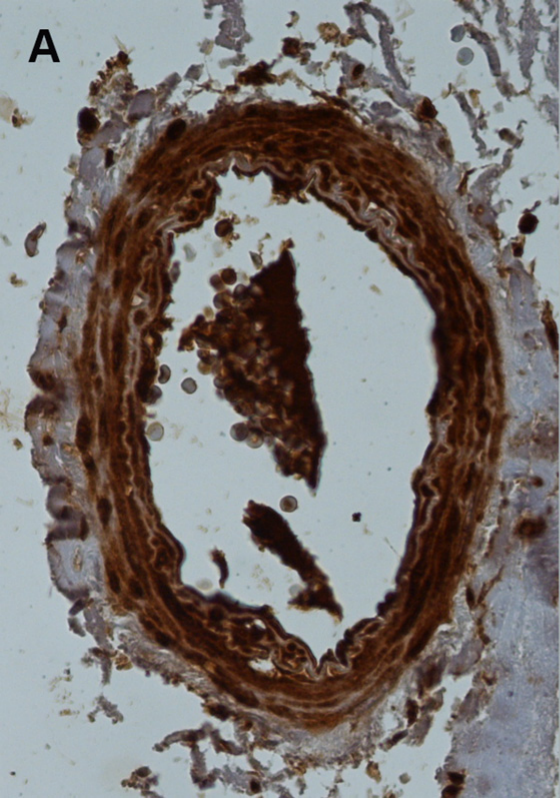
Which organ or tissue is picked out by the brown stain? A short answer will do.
Media.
